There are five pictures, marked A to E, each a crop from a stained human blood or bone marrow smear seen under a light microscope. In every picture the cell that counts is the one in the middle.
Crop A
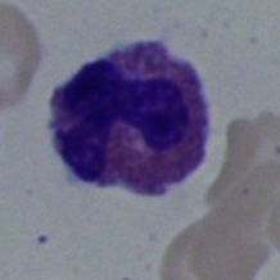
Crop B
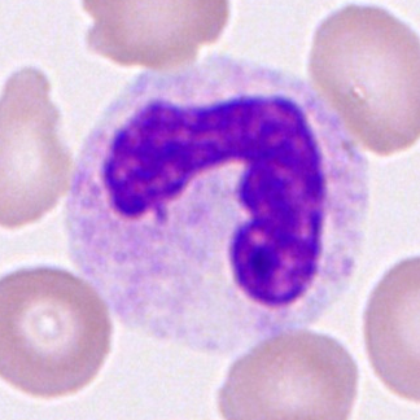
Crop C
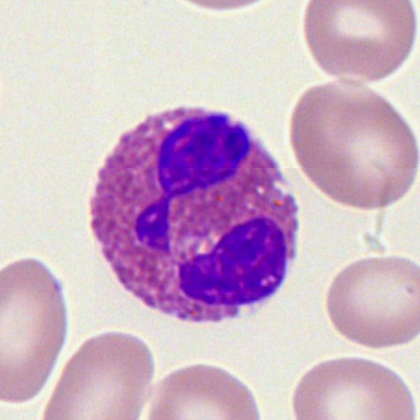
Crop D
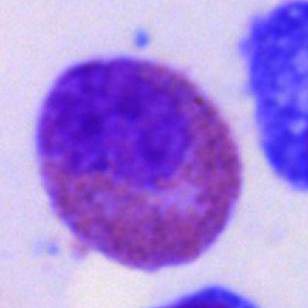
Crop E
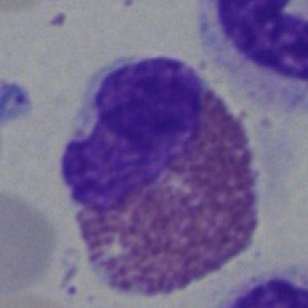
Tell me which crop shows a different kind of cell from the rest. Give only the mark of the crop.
B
